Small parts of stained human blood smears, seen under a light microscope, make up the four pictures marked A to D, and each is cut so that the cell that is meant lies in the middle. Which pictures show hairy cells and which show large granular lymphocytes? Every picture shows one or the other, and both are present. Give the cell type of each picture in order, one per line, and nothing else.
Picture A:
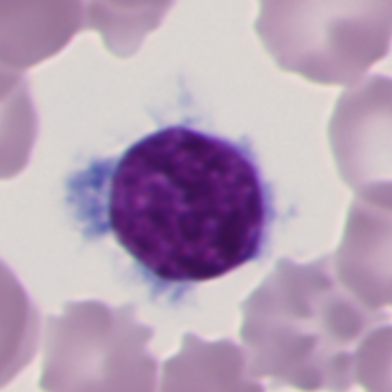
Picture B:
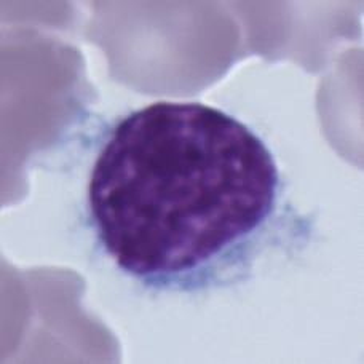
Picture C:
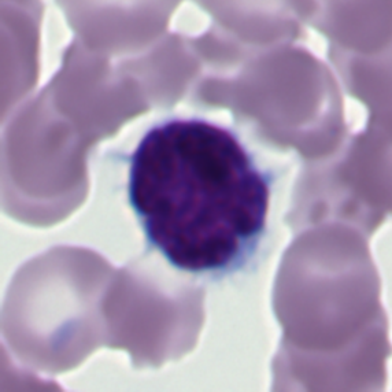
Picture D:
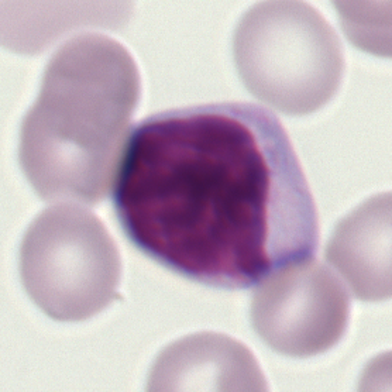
hairy cell
hairy cell
hairy cell
large granular lymphocyte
